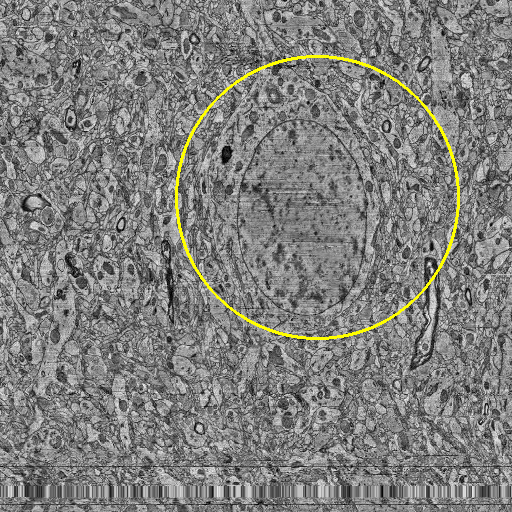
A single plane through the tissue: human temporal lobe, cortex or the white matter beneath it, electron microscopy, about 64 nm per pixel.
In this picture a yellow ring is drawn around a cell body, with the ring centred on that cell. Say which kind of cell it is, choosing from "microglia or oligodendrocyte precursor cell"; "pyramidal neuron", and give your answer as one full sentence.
Here it is a pyramidal neuron that sits at the centre of the drawn yellow ring.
